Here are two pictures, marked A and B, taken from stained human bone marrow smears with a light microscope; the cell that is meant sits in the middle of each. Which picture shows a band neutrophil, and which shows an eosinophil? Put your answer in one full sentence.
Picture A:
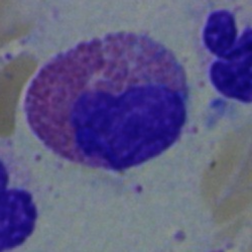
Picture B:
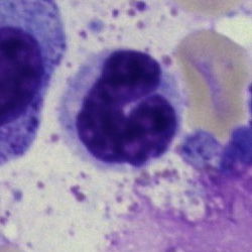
Picture A shows an eosinophil and picture B shows a band neutrophil.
